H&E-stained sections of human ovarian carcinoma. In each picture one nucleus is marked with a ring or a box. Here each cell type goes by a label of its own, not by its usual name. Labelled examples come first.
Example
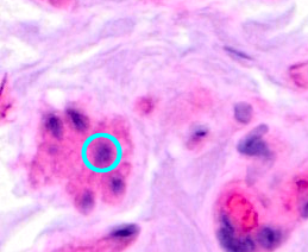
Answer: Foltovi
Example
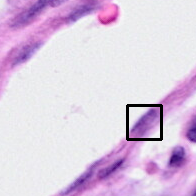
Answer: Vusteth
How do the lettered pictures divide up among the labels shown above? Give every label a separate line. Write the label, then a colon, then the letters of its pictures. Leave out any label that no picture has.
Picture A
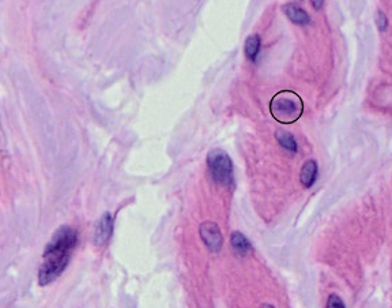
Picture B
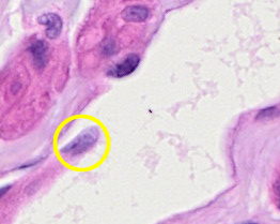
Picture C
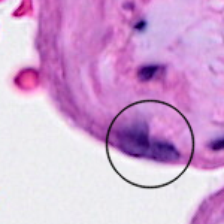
Foltovi: A
Vusteth: B, C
